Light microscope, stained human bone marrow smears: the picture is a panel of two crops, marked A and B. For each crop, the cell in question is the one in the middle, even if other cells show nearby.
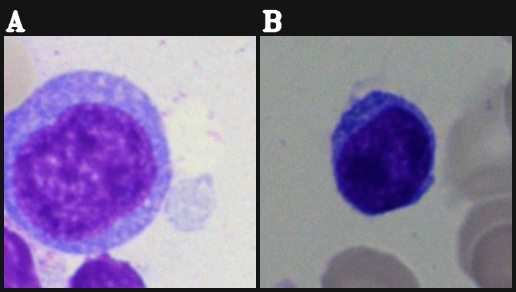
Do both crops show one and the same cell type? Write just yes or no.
no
